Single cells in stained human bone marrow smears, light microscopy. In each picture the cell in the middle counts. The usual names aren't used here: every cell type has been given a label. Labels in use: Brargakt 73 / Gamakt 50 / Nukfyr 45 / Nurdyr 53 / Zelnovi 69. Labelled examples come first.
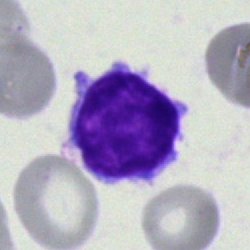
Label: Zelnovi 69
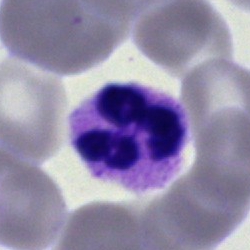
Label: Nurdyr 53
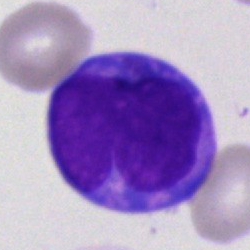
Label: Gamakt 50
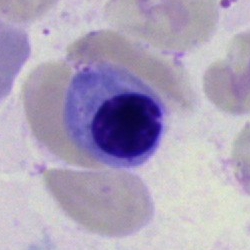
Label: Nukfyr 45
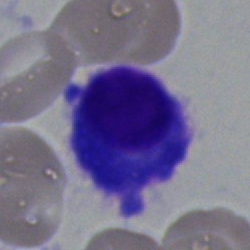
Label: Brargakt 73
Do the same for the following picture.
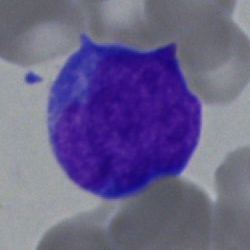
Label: Gamakt 50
